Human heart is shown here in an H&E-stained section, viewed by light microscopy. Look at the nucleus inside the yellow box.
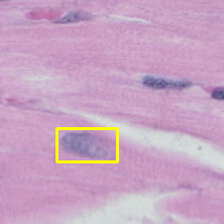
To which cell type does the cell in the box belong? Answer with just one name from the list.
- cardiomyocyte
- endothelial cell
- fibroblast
cardiomyocyte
